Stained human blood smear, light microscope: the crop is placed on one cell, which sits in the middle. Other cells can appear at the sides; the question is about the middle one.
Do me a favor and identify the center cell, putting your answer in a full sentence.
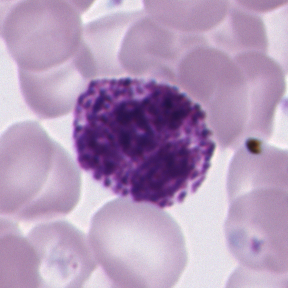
The centrally placed cell is classified as a basophil.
